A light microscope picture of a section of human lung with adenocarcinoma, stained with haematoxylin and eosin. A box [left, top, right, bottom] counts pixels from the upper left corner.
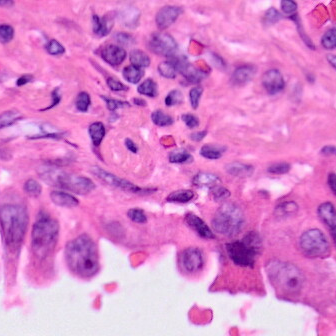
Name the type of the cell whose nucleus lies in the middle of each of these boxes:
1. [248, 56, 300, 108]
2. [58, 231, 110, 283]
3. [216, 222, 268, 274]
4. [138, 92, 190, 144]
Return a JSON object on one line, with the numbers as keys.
{"1": "plasma cell", "2": "carcinoma cell", "3": "carcinoma cell", "4": "lymphocyte"}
